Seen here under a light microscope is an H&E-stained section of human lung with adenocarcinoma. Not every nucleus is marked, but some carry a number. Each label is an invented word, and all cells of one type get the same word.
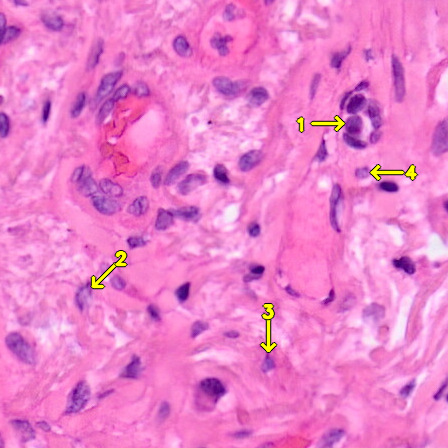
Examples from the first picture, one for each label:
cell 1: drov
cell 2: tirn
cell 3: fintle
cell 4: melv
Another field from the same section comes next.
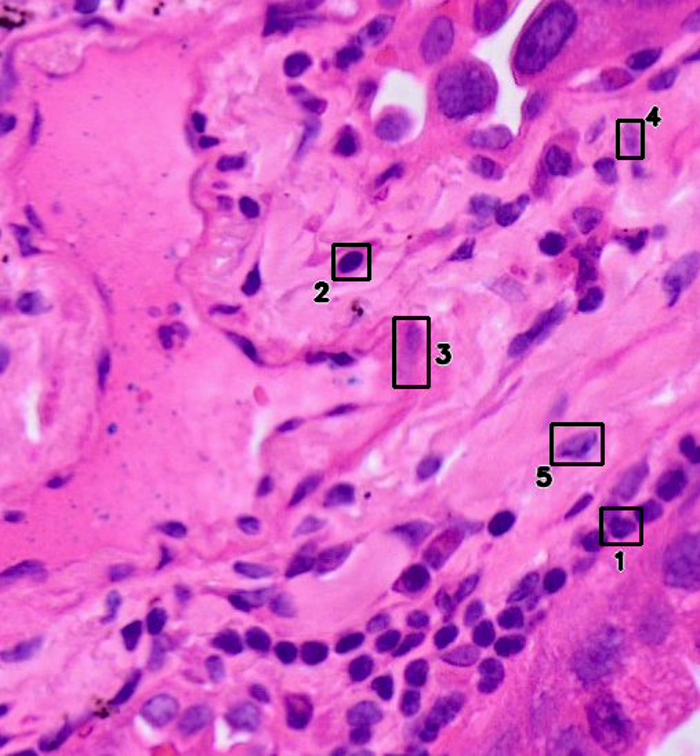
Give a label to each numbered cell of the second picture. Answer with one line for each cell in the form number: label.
1: drov
2: melv
3: fintle
4: tirn
5: tirn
